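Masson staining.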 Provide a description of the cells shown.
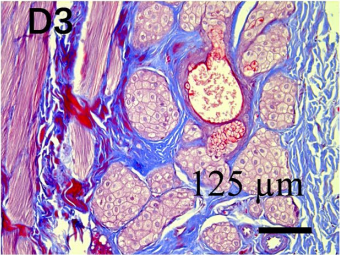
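Blue-stained collagen fibres wrap each lobule and separate them from one another. Along one side lie bundles of red-stained fibres. One structure near the top contains red-stained material within a rounded space. The overall arrangement is orderly, with distinct glandular lobules framed by thin blue septa.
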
